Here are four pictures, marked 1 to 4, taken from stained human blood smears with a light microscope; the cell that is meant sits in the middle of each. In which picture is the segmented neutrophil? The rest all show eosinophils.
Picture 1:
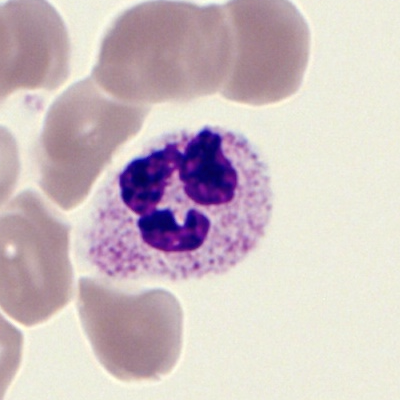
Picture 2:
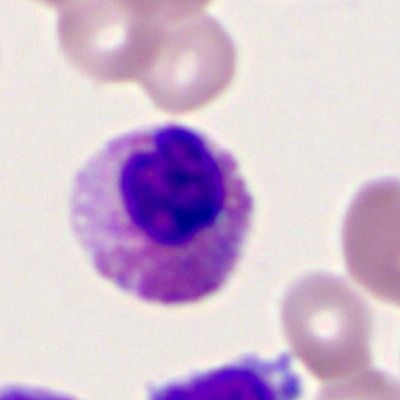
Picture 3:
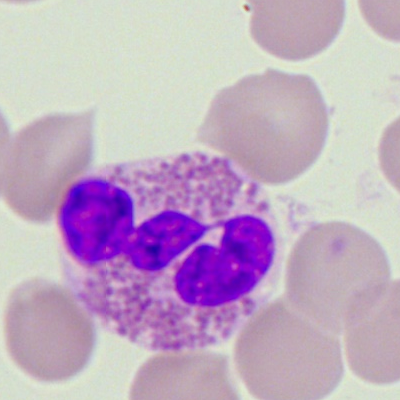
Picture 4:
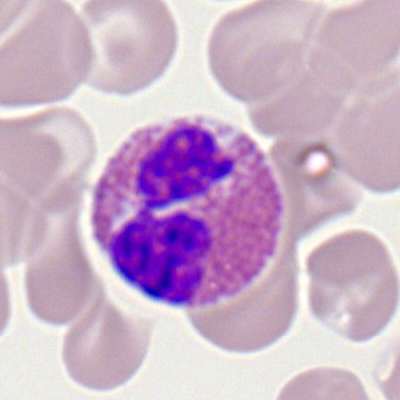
1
